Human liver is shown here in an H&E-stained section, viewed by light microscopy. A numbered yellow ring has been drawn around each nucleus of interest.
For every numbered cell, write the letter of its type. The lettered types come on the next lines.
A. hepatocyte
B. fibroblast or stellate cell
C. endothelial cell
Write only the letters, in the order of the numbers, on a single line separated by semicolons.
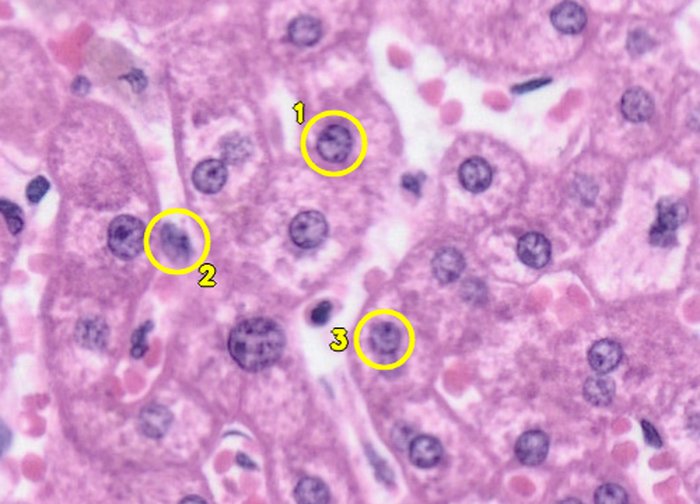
A; C; A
